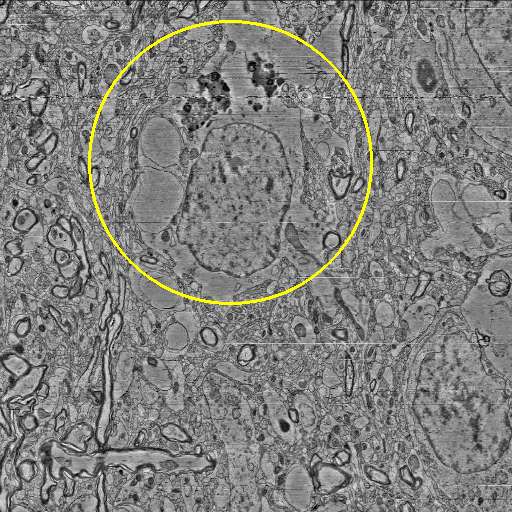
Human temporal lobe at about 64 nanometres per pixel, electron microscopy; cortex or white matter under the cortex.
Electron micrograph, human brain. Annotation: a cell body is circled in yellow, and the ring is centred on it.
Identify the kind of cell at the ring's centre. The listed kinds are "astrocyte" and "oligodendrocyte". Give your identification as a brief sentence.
The circled cell body is that of an astrocyte.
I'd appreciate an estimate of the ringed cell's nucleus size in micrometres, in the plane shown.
In this plane, approximately 10 by 8 micrometers.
